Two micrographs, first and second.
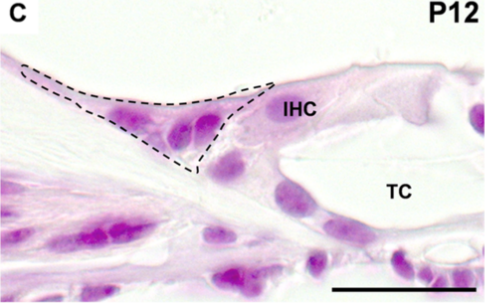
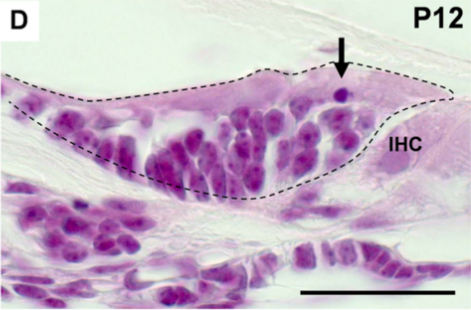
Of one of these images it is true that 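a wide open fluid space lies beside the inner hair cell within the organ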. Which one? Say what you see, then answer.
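Second image: no open space is seen; cells fill the area beside the inner hair cell. First image: a large clear triangular space lies below and beside the inner hair cell. The answer: the first image.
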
